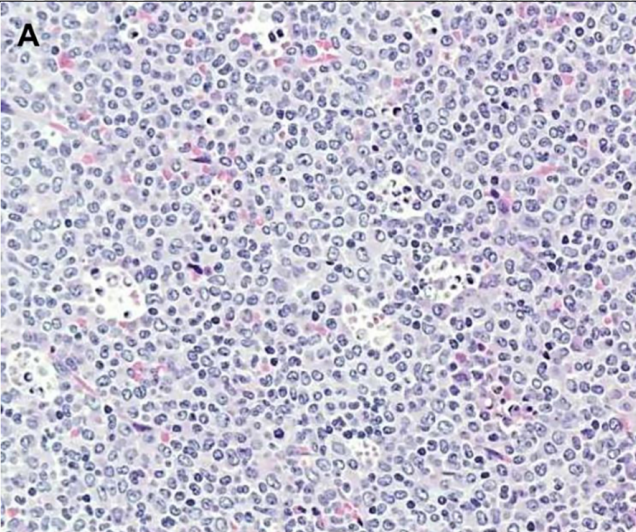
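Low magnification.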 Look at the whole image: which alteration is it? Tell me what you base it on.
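Uniform cells fill the field in a continuous sheet. No follicles or other architecture are visible. The answer: diffuse pattern of growth.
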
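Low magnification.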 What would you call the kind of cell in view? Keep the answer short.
Tingible body macrophages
